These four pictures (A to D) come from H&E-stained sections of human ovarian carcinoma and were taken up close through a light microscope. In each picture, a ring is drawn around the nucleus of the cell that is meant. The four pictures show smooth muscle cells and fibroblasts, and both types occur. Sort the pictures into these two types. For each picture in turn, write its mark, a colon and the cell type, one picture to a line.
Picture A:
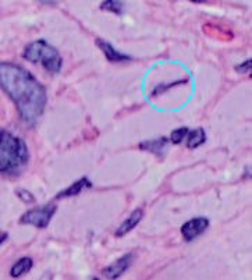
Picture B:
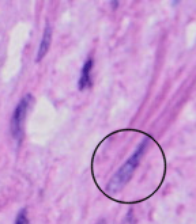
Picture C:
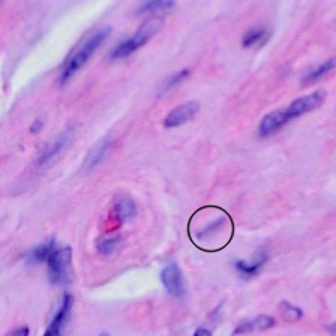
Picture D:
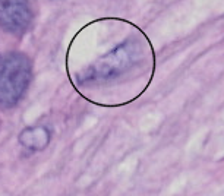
A: fibroblast
B: fibroblast
C: smooth muscle cell
D: fibroblast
